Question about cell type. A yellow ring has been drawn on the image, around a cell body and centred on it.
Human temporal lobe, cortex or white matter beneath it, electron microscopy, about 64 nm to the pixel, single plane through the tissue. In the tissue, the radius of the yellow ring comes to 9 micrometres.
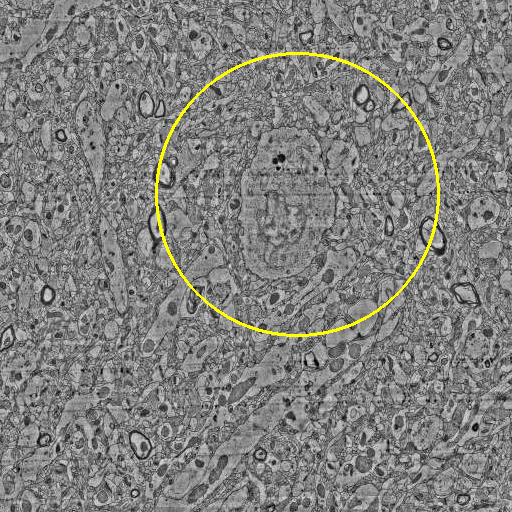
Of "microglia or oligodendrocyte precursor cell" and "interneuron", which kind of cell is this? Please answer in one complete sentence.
At the centre of the ring lies an interneuron.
